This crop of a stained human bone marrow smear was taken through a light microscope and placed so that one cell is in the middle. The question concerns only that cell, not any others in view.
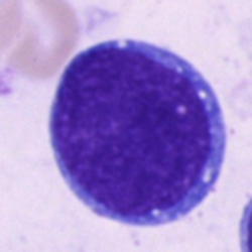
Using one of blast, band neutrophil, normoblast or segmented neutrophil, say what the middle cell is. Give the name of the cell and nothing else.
blast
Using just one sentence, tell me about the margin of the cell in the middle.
Edge check done: smooth outline, no projections present.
